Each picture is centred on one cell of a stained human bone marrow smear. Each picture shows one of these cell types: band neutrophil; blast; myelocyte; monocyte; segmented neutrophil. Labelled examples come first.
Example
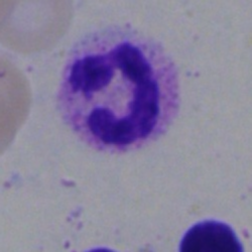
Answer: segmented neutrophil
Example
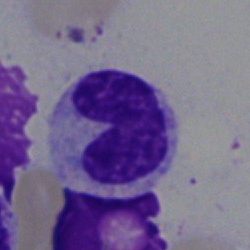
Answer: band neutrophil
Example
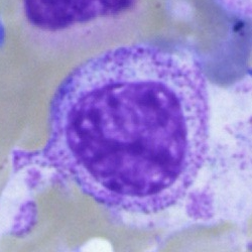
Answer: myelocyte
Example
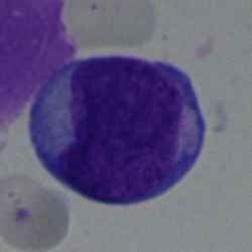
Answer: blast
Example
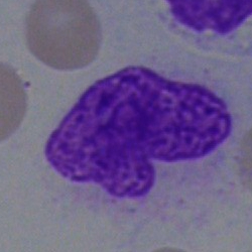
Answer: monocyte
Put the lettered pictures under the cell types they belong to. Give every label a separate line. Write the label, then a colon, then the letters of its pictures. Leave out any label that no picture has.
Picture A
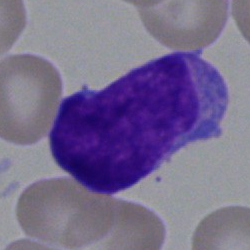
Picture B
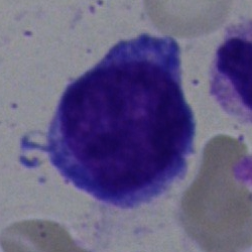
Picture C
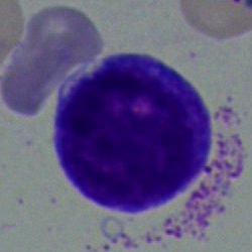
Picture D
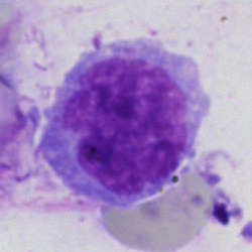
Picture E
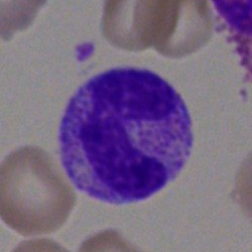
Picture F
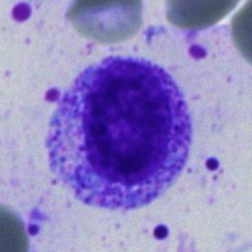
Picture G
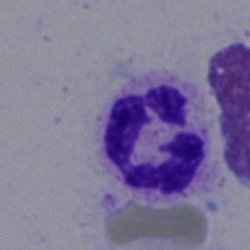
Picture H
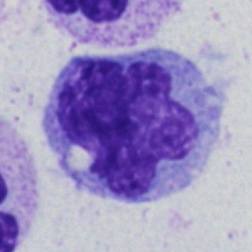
band neutrophil: E
blast: A, B, C
myelocyte: F
monocyte: D, H
segmented neutrophil: G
